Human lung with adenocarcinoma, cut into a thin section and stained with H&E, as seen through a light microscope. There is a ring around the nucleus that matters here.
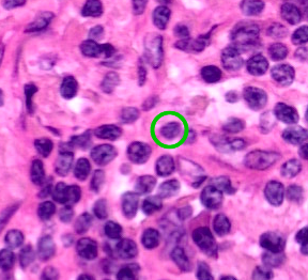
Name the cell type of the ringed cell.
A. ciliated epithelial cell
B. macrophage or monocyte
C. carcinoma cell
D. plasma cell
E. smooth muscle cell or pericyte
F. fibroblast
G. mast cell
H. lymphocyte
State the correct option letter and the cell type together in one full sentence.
Option H correctly labels the ringed cell as a lymphocyte.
